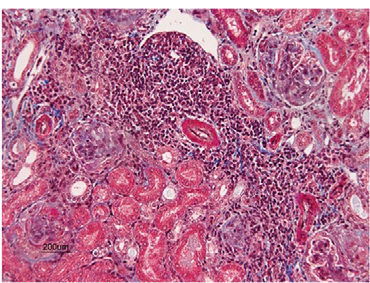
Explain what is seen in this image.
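This is a section of kidney cortex, showing tubules, glomeruli and vessels with a heavy cellular infiltrate. A dense mass of small cells with dark, round nuclei and little cytoplasm occupies the centre of the field and gathers around vessels, whose walls stain red. Around this infiltrate, tubules with pink to red epithelium and open lumens are spread apart, some shrunken or irregular. Blue-stained collagen threads run between the tubules and around the infiltrate, marking fibrosis of the interstitium. Glomerular tufts at the sides look crowded and partly blue-tinged, in keeping with scarring.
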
